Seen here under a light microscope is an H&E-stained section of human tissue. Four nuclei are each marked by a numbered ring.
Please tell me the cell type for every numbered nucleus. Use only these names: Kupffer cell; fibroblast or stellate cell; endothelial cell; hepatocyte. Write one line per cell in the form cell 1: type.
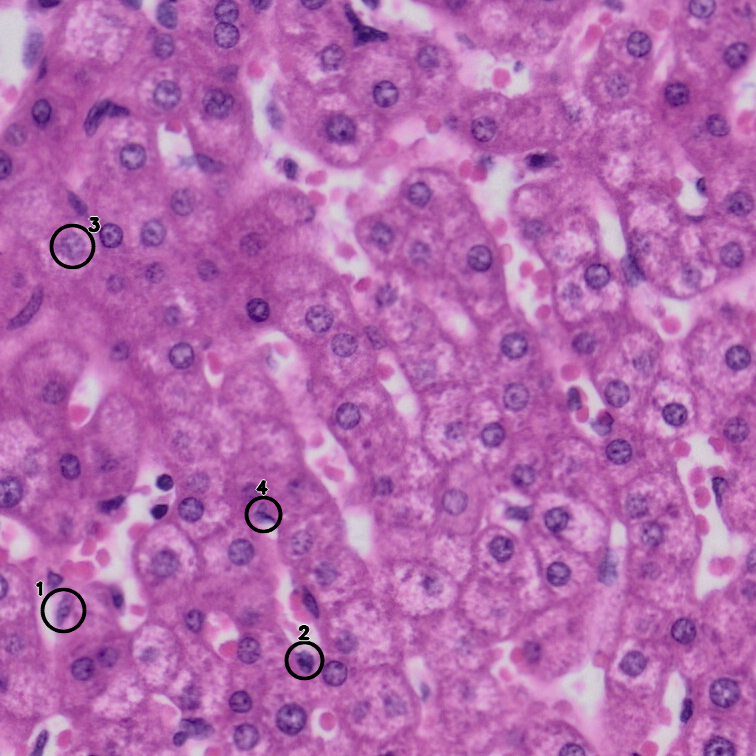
cell 1: Kupffer cell
cell 2: fibroblast or stellate cell
cell 3: hepatocyte
cell 4: endothelial cell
